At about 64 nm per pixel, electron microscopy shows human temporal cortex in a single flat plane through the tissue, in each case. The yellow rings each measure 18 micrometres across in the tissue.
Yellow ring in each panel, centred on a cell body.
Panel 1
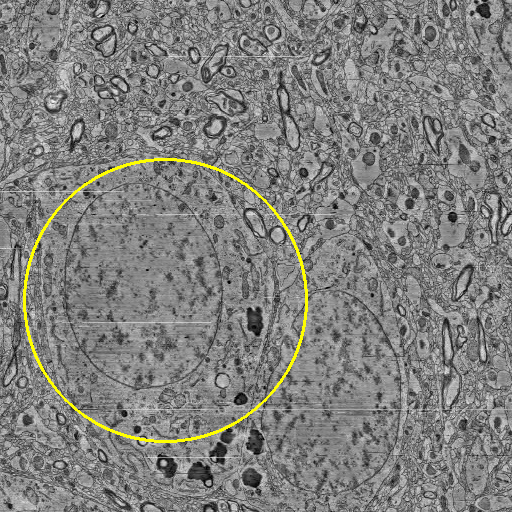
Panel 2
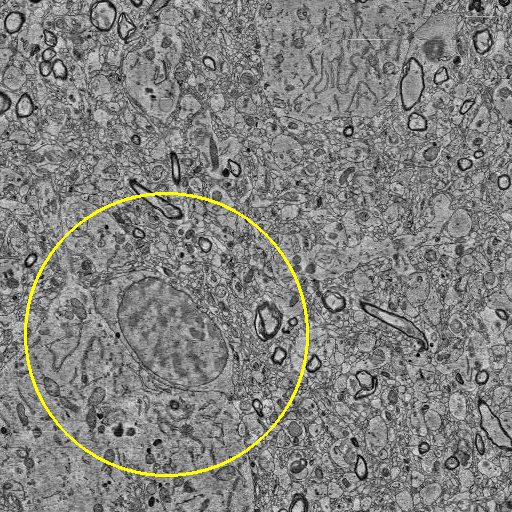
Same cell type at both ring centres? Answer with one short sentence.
No, the two cells are of two types.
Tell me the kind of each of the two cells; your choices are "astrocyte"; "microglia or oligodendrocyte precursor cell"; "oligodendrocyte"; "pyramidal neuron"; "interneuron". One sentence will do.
The ringed cell is a pyramidal neuron in the first picture and an oligodendrocyte in the second picture.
